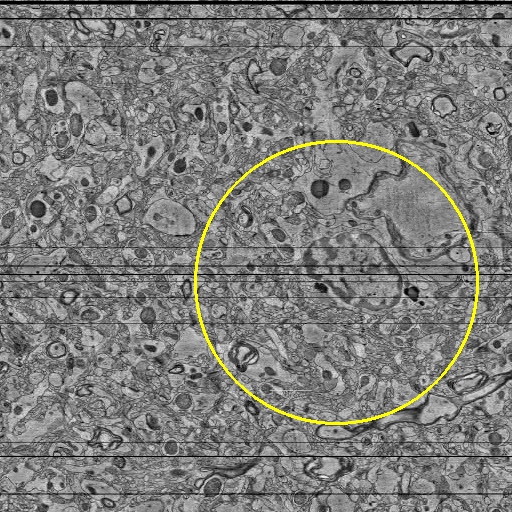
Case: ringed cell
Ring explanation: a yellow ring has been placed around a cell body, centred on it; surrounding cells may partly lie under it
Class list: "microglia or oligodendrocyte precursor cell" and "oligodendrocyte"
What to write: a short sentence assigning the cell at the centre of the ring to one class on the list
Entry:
The cell at the ring's centre is a microglial cell or oligodendrocyte precursor cell.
